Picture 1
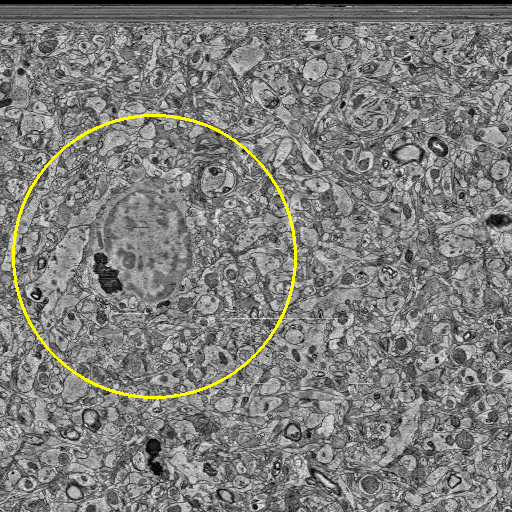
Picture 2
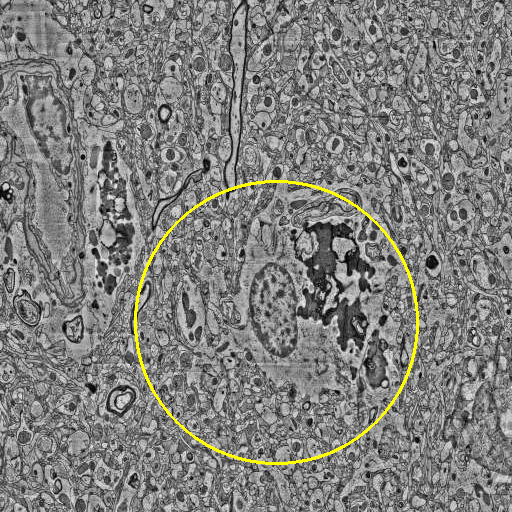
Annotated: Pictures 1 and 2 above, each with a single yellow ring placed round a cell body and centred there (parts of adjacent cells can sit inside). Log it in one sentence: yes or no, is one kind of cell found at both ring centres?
No, the ring centres of the two pictures hold cells of two kinds.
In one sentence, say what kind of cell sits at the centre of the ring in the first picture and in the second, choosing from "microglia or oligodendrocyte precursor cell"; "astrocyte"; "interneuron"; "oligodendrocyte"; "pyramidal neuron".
The first picture's ringed cell is an oligodendrocyte, while the second picture's is an astrocyte.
